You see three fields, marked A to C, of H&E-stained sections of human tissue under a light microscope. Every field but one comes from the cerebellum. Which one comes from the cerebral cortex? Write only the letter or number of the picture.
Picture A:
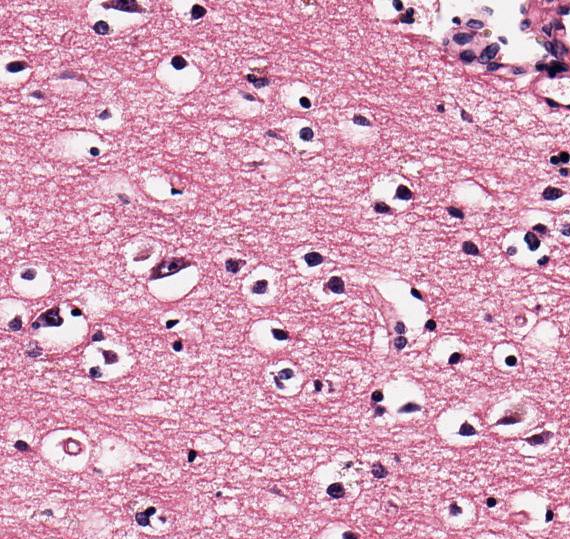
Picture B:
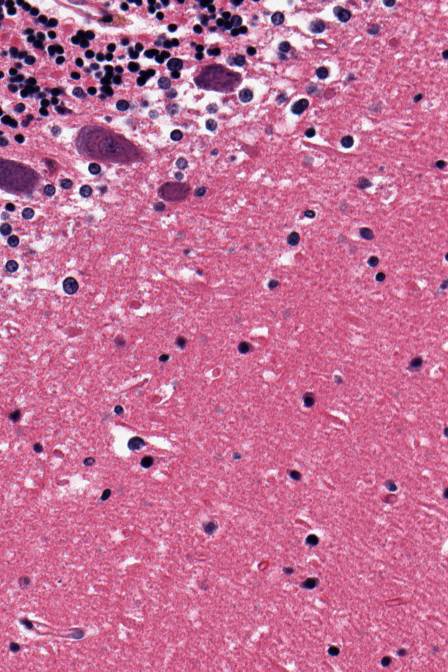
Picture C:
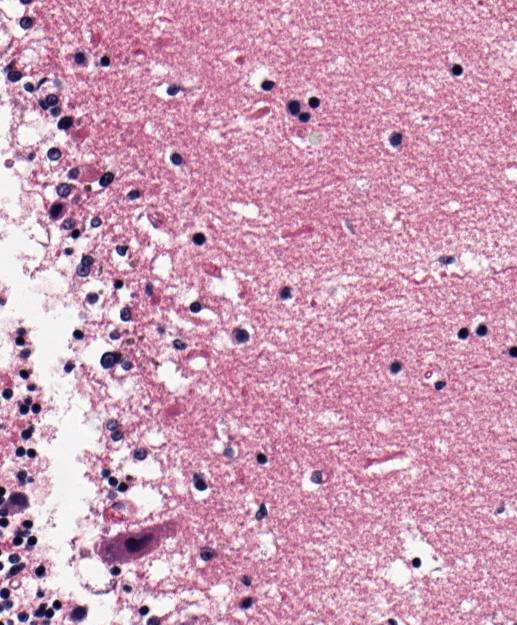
A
